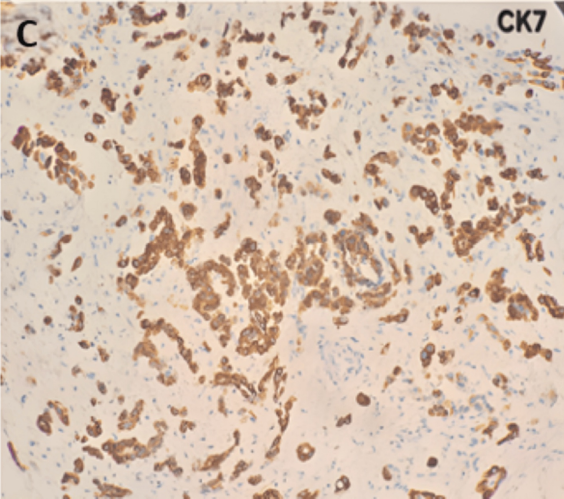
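The tumour cell groups are stained strongly brown throughout their cytoplasm, while the stromal cells between them remain unstained with only blue nuclei. Some of the cell groups form small rings around a lumen, others solid elongated cords.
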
